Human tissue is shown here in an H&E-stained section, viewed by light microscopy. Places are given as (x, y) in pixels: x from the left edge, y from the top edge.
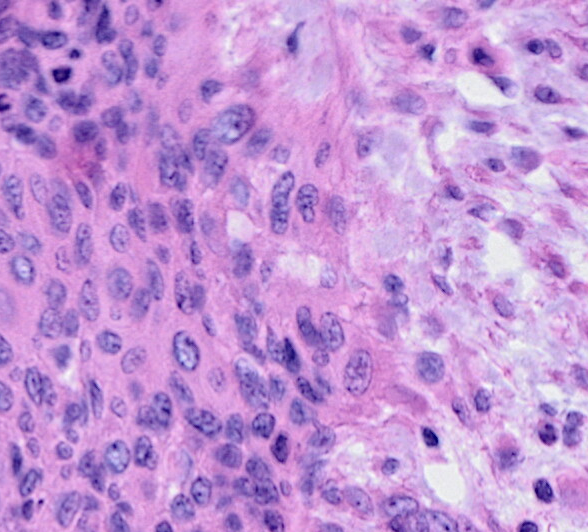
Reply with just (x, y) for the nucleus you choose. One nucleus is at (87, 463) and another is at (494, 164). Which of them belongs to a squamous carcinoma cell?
(87, 463)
